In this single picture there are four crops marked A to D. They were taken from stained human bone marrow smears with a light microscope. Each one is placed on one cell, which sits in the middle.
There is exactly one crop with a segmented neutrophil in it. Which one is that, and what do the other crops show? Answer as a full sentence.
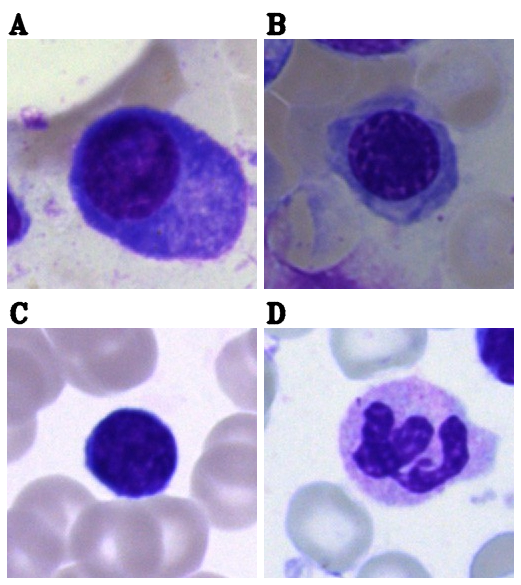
In the case of crop D, the cell is a segmented neutrophil, while crop A is a plasma cell, crop B is an erythroblast and crop C is a lymphocyte.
